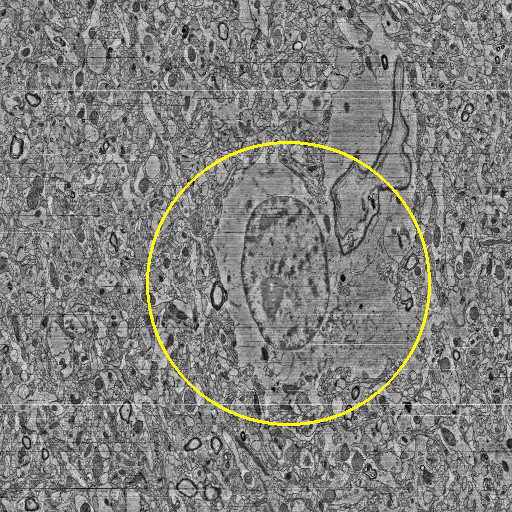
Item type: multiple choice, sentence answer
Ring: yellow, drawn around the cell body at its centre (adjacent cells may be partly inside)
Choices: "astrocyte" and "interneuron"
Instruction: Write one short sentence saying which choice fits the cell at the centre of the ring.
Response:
This ring is drawn around an astrocyte.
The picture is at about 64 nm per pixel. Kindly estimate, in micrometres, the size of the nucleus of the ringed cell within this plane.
The nucleus is approximately 10 micrometres long but only about 6 wide, clearly longer than it is wide in this plane.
